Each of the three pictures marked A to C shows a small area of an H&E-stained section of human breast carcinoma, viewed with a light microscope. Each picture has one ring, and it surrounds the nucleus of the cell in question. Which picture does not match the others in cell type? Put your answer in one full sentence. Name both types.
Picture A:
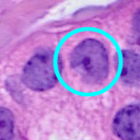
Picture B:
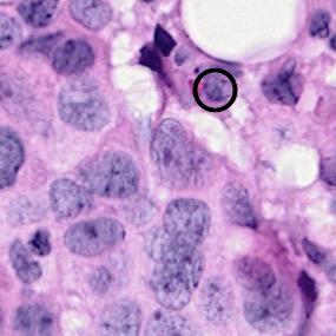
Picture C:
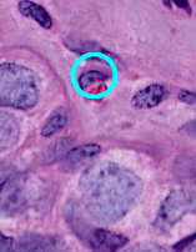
The different one is picture A; it shows a carcinoma cell, whereas all the others show endothelial cells.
